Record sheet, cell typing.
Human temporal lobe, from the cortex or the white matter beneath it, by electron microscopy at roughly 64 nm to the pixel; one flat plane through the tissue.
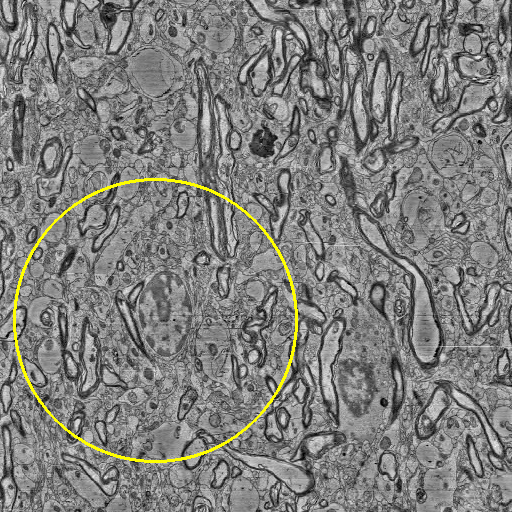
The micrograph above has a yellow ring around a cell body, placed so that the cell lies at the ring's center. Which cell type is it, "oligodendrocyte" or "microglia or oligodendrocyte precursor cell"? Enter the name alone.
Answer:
microglia or oligodendrocyte precursor cell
